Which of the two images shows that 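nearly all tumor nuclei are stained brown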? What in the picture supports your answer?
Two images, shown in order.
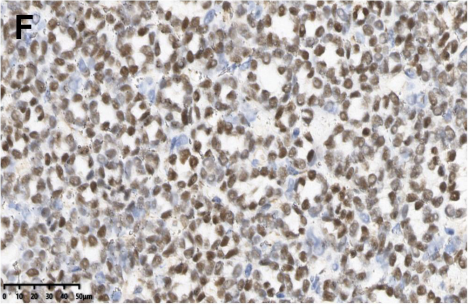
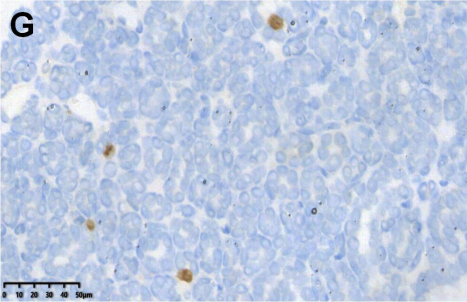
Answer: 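The first image. Second image: only a handful of scattered brown nuclei among blue ones. First image: most nuclei are brown.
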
